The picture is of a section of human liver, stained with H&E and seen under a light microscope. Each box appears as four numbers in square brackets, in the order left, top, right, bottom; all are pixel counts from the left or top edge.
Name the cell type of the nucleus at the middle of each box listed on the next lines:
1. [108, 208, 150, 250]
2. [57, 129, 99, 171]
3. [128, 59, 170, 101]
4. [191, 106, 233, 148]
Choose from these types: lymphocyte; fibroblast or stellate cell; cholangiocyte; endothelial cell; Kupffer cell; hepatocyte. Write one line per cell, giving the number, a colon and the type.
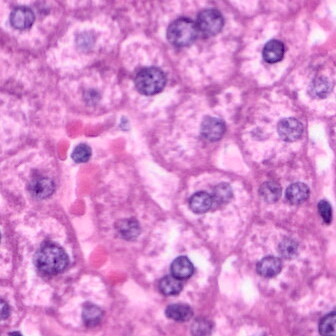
1: hepatocyte
2: lymphocyte
3: hepatocyte
4: hepatocyte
